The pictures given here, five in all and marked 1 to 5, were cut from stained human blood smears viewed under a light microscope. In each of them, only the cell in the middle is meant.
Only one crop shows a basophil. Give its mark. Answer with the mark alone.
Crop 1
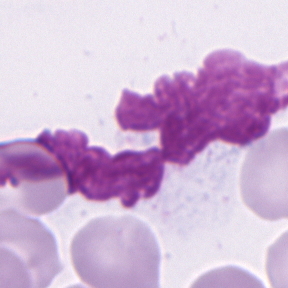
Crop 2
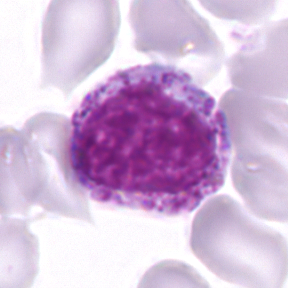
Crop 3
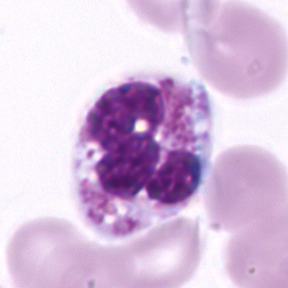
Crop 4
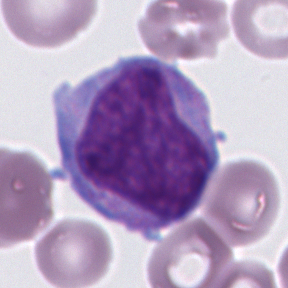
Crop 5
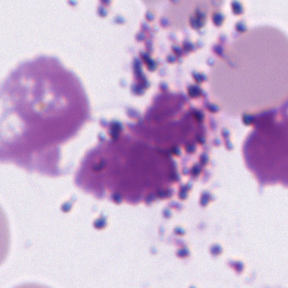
5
